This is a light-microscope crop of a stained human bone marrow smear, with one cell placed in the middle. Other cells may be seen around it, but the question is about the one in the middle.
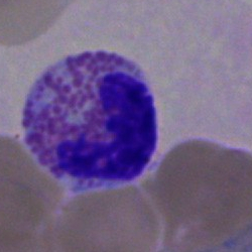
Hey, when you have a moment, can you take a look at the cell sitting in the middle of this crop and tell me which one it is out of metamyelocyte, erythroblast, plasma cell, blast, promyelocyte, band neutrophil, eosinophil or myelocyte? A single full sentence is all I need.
As for the cell in the middle, it is an eosinophil.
